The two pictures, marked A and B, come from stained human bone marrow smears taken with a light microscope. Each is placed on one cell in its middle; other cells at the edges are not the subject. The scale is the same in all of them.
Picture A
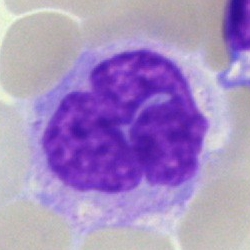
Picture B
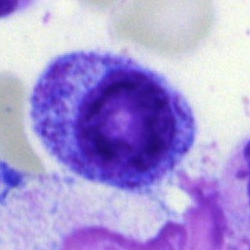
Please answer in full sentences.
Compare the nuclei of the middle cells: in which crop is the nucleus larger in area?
Picture A shows the larger nucleus; it covers about 2 times the area of the nucleus in picture B.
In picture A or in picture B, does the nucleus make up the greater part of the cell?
In picture A the nucleus takes up the larger part of its cell.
